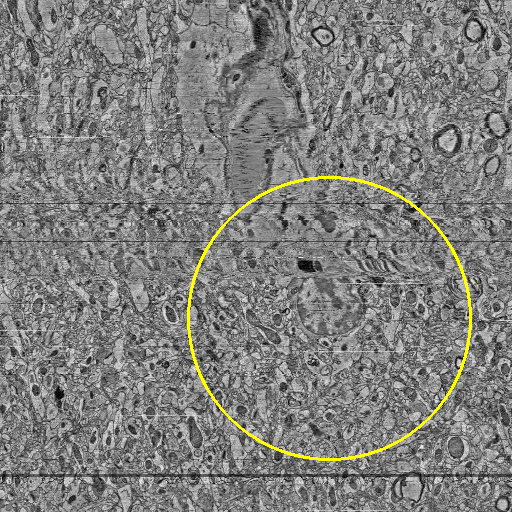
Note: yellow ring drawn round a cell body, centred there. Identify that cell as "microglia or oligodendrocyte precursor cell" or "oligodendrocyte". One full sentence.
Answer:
The cell in the middle of the ring is an oligodendrocyte.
